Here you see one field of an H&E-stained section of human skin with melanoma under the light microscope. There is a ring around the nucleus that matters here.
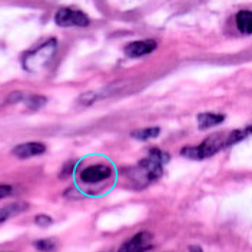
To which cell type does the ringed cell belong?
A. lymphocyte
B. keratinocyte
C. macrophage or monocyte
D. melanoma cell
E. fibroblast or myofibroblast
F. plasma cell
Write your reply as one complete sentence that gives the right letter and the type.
On this slide, the ringed cell is a plasma cell, so option F is right.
